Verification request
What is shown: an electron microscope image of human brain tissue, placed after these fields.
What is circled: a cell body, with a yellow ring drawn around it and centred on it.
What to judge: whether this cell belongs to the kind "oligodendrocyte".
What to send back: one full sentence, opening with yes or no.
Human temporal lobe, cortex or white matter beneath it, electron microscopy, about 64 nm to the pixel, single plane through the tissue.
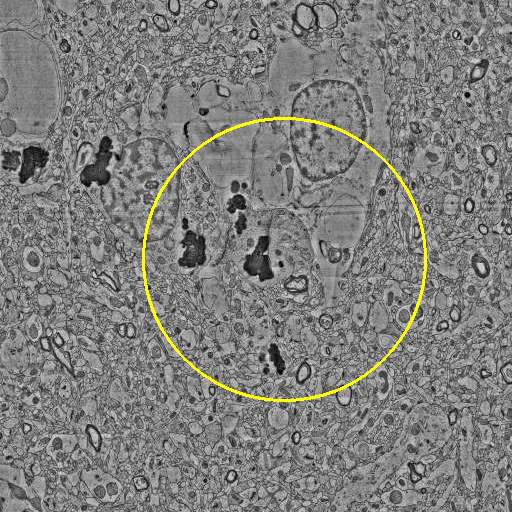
Yes, the cell on which the yellow ring is centred in the picture is of that kind.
